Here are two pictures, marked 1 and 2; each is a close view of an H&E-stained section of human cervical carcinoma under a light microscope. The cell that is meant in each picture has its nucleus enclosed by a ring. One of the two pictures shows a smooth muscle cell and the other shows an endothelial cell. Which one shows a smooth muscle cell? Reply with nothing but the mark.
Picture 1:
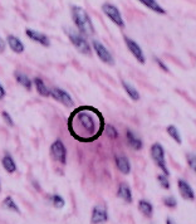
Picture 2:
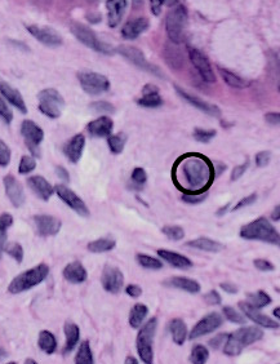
1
